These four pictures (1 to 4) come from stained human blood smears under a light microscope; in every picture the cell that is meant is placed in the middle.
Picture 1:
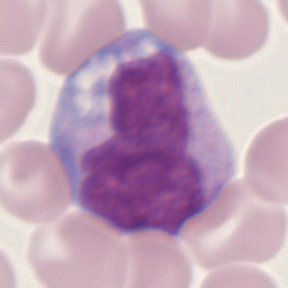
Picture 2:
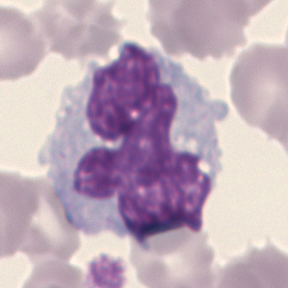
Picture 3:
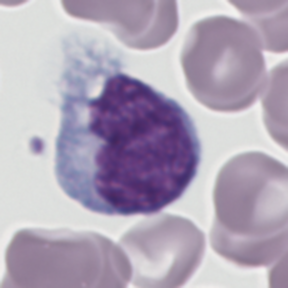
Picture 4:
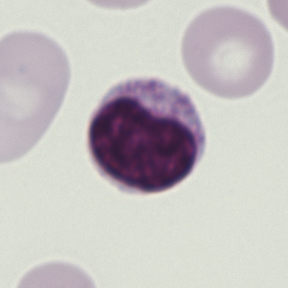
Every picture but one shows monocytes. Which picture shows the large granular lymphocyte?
4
